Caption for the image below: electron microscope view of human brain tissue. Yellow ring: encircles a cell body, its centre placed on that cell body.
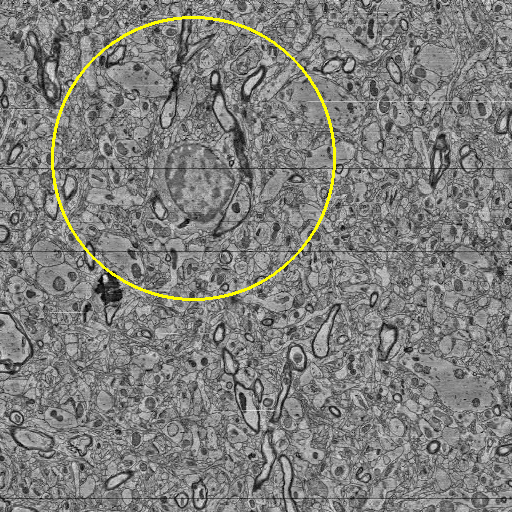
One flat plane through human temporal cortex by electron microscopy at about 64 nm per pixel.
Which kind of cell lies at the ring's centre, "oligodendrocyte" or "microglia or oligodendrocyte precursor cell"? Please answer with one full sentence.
The picture shows an oligodendrocyte at the centre of the yellow ring.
